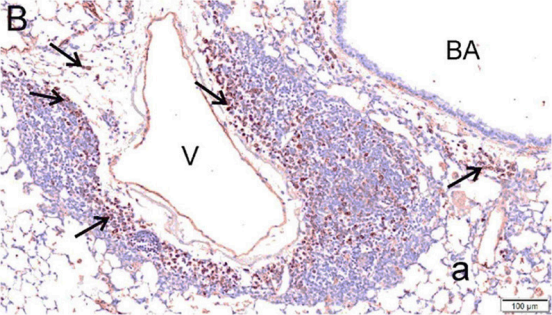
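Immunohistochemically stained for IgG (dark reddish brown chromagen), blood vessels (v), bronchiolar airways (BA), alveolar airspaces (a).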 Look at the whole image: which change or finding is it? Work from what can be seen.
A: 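Dense sheets of small round cells crowd the tissue around the vessel. Many of these cells are stained reddish brown.
Answer: A marked infiltration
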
